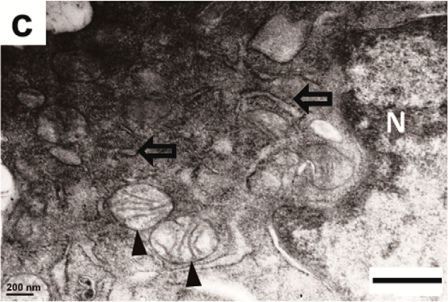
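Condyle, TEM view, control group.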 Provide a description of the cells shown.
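Cytoplasm of a chondrocyte near its nucleus, with several oval mitochondria bearing parallel cristae. Thin elongated membrane profiles of endoplasmic reticulum run through the surrounding cytoplasm.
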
